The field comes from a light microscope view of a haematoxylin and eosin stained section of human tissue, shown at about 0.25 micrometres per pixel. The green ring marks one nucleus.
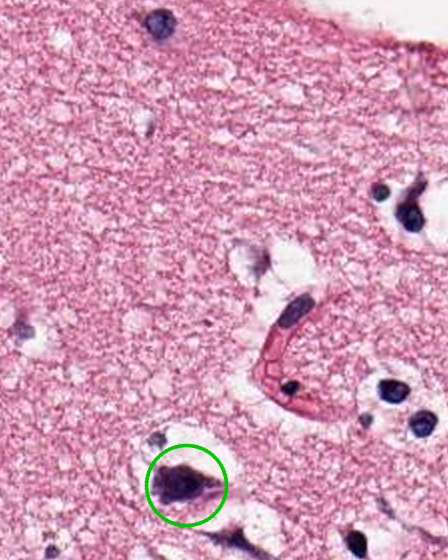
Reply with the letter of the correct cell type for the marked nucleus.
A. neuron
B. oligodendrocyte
A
